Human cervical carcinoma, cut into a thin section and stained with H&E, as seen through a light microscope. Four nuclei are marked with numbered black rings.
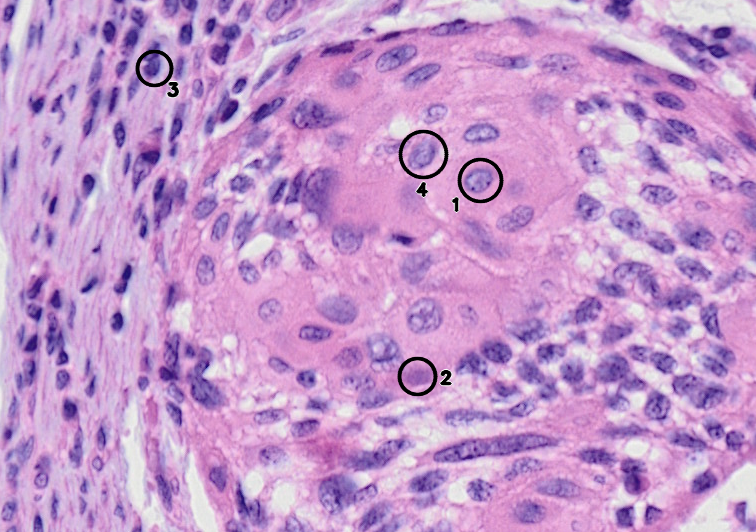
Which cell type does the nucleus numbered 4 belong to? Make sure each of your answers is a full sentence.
Among the marked nuclei, number 4 belongs to a squamous carcinoma cell.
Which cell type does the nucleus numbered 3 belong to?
The marked cell bearing number 3 is a lymphocyte.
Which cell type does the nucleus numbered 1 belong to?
The cell numbered 1 represents a squamous carcinoma cell.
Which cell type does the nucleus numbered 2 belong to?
Regarding cell 2, this one is a squamous carcinoma cell.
